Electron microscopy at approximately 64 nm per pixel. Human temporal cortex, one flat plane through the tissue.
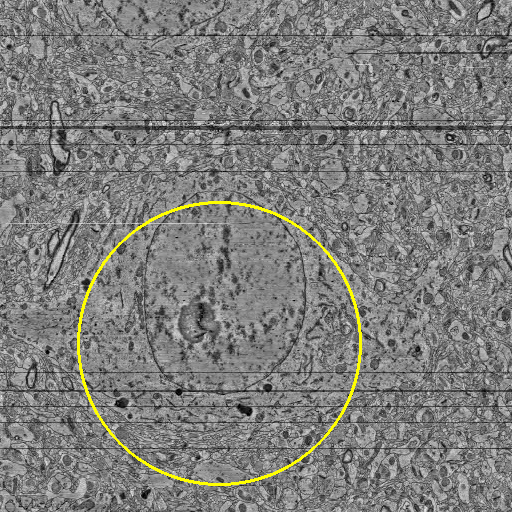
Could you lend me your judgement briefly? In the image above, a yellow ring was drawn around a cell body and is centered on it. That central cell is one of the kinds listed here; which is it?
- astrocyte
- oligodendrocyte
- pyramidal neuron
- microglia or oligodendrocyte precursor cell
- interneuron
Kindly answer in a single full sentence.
Going by the list, a pyramidal neuron is the kind at the ring's center in the picture.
